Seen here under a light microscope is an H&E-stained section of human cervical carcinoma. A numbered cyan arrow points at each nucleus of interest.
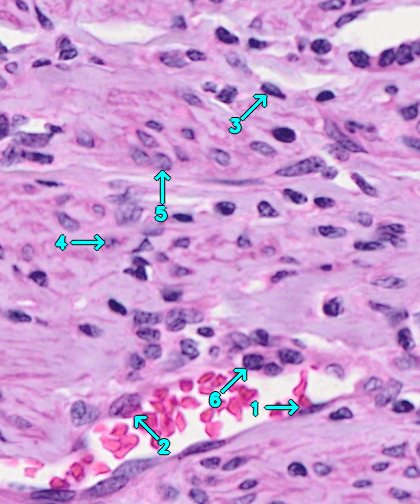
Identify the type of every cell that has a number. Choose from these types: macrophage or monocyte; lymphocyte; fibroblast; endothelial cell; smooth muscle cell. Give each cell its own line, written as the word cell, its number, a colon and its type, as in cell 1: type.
cell 1: endothelial cell
cell 2: endothelial cell
cell 3: lymphocyte
cell 4: smooth muscle cell
cell 5: smooth muscle cell
cell 6: lymphocyte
